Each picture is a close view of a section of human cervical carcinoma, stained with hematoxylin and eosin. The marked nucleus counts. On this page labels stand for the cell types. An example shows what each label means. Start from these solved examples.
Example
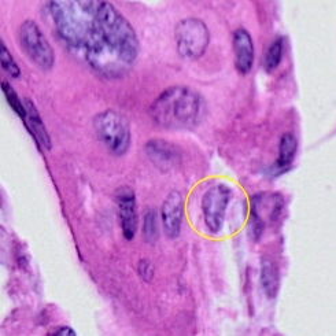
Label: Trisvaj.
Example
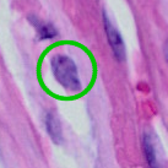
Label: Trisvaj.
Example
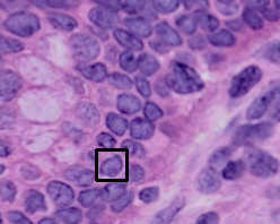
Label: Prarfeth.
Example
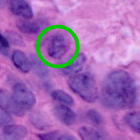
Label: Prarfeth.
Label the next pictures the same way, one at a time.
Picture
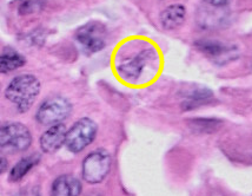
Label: Trisvaj.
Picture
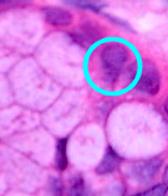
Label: Prarfeth.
